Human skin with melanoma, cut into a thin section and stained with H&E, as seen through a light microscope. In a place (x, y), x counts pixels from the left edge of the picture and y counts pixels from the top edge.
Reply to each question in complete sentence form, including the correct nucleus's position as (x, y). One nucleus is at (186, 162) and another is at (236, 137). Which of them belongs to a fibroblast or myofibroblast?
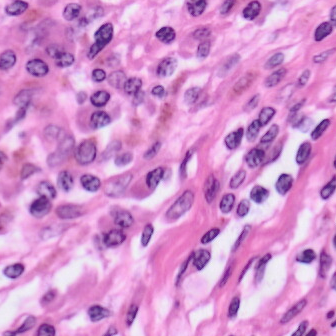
The nucleus at position (186, 162) belongs to a fibroblast or myofibroblast.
